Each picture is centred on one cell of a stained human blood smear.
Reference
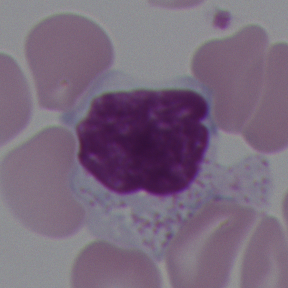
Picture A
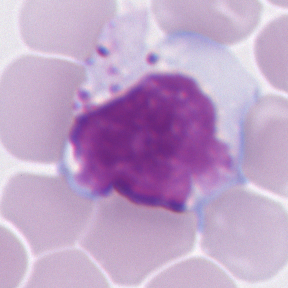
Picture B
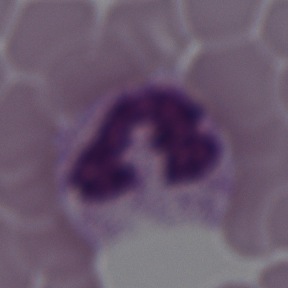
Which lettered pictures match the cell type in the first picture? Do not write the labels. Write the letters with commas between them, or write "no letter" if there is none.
A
